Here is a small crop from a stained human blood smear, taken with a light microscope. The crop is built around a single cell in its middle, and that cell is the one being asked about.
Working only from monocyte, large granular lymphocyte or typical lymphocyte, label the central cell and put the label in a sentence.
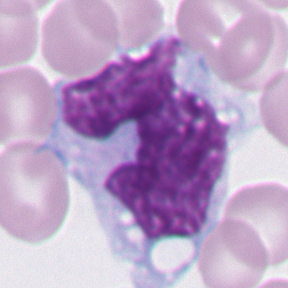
In the middle of this smear crop, the cell is a monocyte.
